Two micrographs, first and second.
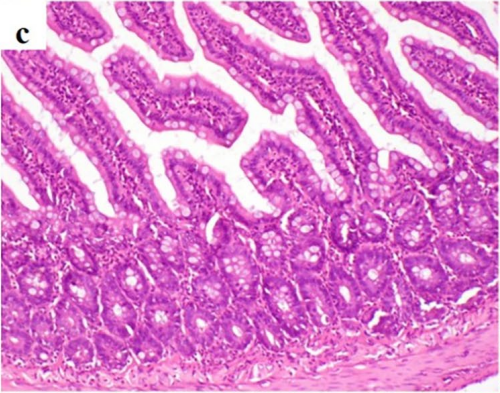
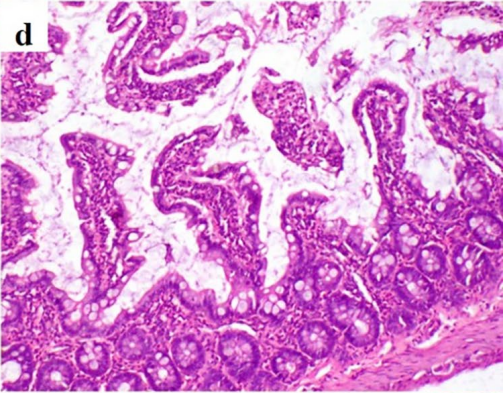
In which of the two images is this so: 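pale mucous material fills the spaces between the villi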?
The second image.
